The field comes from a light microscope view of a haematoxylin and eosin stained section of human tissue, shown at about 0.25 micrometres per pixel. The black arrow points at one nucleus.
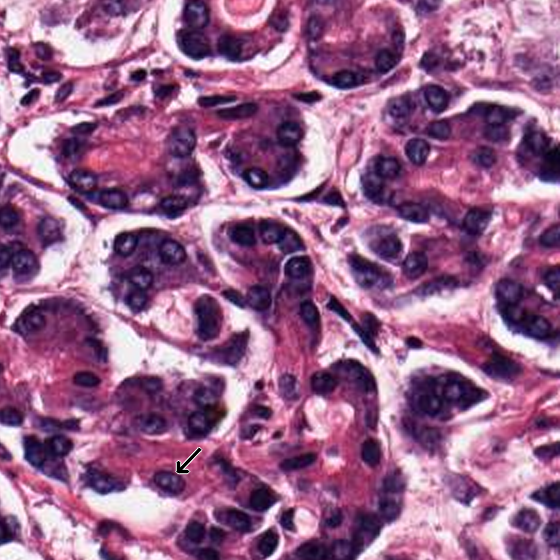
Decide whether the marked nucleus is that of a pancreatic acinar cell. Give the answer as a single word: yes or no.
yes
